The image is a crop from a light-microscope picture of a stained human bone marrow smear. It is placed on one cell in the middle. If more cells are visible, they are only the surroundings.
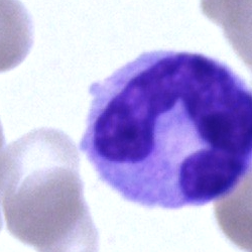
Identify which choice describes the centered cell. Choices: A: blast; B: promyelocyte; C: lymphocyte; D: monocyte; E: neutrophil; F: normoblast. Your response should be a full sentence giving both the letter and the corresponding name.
As the central cell is a monocyte, option D is correct.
